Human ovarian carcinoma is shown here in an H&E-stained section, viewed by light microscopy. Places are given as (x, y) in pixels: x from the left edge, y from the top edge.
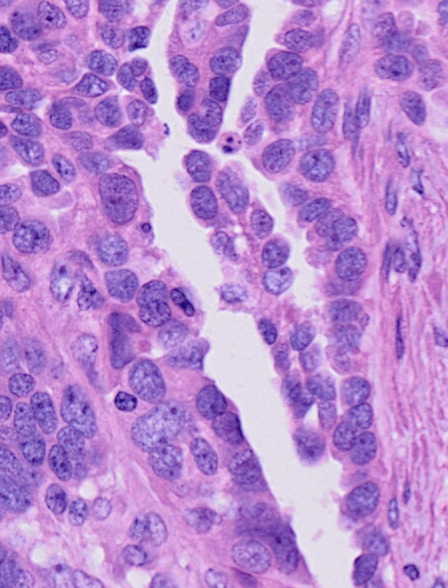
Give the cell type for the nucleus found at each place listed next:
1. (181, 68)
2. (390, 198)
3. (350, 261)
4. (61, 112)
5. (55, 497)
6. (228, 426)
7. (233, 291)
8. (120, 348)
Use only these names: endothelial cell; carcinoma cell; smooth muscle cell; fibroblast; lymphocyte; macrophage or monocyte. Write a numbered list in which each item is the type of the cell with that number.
1. carcinoma cell
2. fibroblast
3. carcinoma cell
4. carcinoma cell
5. macrophage or monocyte
6. carcinoma cell
7. macrophage or monocyte
8. carcinoma cell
